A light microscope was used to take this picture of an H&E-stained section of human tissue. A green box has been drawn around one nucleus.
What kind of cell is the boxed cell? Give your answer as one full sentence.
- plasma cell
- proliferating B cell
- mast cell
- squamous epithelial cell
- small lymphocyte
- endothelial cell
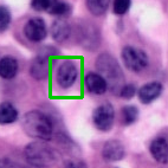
As to its cell type, the boxed cell is a plasma cell.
